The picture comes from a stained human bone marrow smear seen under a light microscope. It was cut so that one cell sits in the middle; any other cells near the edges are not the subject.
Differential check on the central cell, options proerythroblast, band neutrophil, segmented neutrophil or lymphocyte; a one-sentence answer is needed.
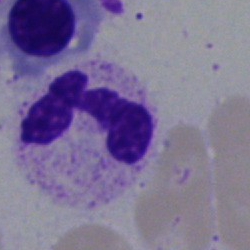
The central cell shown in this smear crop is a segmented neutrophil.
